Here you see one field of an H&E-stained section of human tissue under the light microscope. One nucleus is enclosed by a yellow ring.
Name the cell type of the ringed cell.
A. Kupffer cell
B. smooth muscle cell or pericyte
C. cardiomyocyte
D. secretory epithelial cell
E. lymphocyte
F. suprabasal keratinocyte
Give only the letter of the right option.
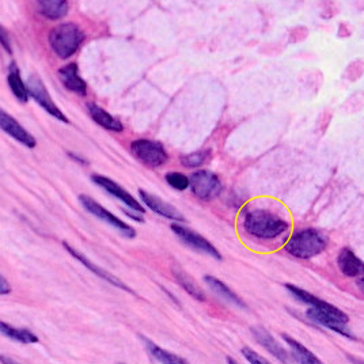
D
